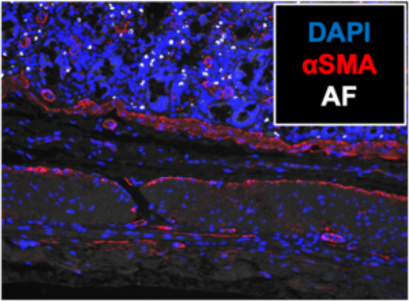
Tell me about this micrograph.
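The nuclei are densest in the upper layer and sparser in the lower, darker layer. Red signal outlines small round vessel profiles in the upper layer and forms a continuous band along the boundary between the upper and lower layers, with thinner red lines further down. Scattered small bright white dots are seen mainly in the upper cellular region.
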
